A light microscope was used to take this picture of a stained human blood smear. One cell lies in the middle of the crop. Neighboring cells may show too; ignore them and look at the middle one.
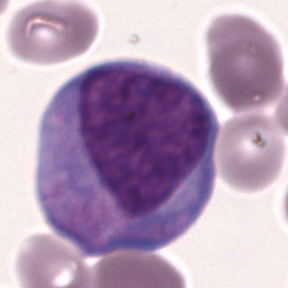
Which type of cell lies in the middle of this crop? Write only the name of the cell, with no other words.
atypical promyelocyte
